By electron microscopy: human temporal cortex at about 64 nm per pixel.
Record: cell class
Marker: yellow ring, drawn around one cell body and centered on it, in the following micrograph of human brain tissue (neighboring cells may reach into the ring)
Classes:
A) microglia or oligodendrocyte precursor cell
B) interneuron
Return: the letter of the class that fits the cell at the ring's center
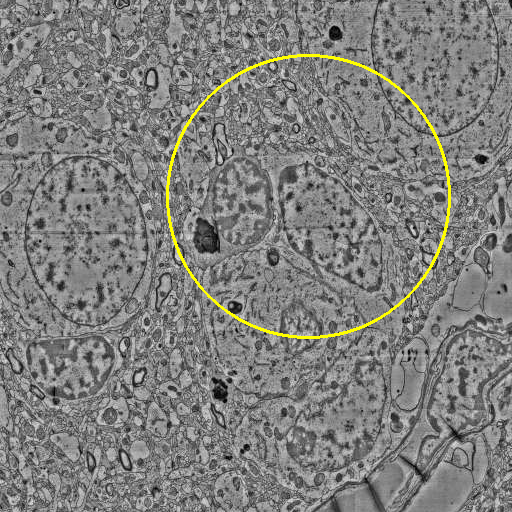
A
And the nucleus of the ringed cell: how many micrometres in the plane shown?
About 9 by 5 micrometers in this plane, so the nucleus is clearly longer than it is wide.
